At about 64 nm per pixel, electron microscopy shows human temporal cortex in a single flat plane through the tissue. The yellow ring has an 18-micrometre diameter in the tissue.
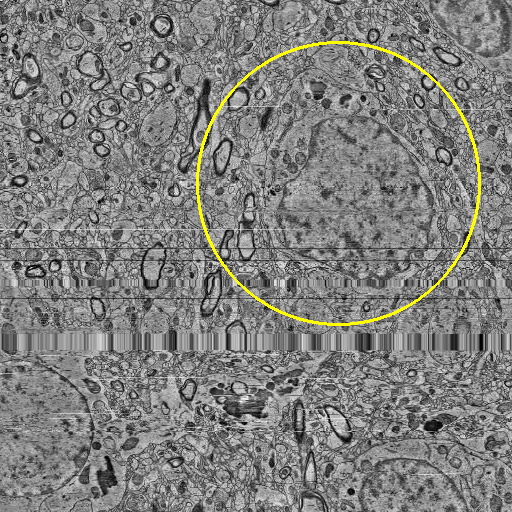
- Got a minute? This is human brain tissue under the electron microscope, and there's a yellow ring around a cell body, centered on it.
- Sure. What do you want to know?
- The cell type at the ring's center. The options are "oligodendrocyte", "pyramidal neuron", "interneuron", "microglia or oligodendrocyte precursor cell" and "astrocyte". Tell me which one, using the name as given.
interneuron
